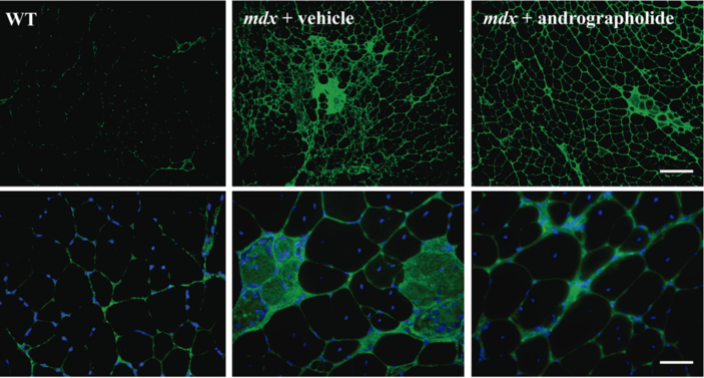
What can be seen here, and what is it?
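Cross-sectioned skeletal muscle, low magnification above and high magnification below, with polygonal fibres outlined by green and small blue nuclei at their edges. In the left column the green is confined to thin lines between fibres. In the middle column the green lines are thicker and broad green patches fill the spaces between fibres of varied size, holding many clustered nuclei. In the right column the lines between fibres are thicker than on the left, with smaller green patches.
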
